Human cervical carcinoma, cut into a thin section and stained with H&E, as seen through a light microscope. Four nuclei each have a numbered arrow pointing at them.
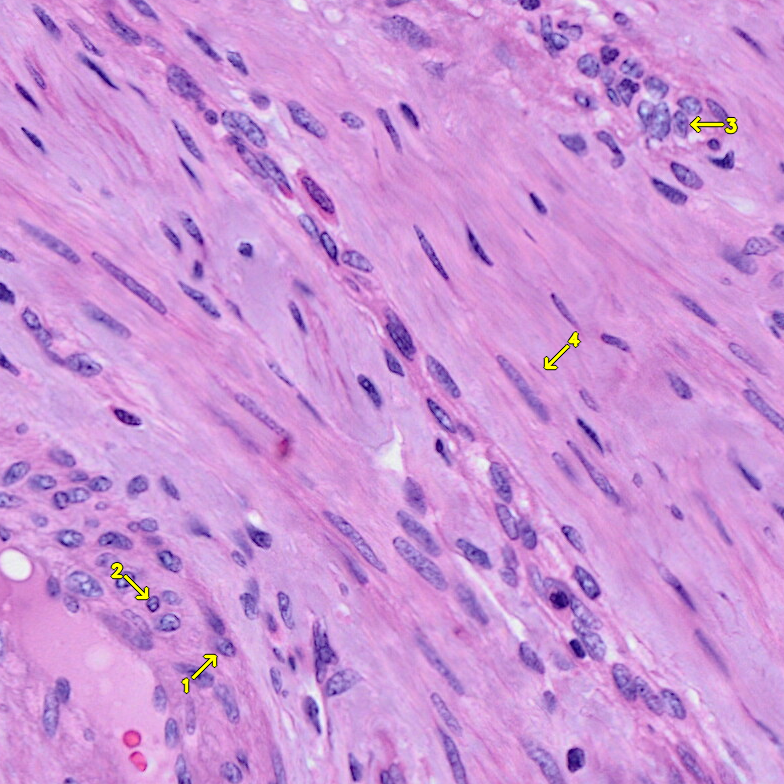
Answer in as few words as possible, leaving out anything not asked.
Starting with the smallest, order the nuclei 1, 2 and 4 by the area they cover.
2, 1, 4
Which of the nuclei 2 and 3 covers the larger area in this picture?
3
